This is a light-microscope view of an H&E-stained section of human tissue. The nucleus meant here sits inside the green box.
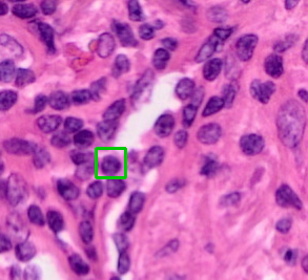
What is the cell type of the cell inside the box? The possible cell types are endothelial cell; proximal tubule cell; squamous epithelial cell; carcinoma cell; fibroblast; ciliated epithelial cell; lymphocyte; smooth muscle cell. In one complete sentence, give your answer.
The identity of the cell inside the box: it is a lymphocyte.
